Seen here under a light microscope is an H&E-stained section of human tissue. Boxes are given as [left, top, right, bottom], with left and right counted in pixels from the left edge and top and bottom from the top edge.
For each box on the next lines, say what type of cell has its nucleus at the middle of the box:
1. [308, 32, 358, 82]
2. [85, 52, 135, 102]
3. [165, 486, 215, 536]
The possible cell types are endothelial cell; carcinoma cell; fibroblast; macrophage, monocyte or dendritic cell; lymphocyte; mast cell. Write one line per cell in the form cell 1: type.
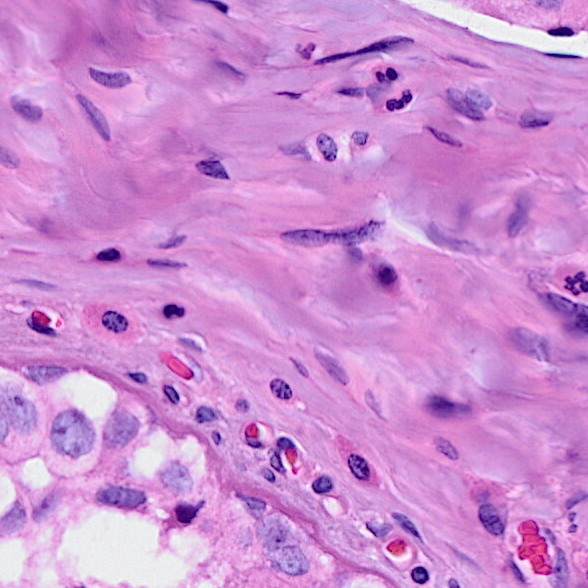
cell 1: fibroblast
cell 2: fibroblast
cell 3: carcinoma cell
